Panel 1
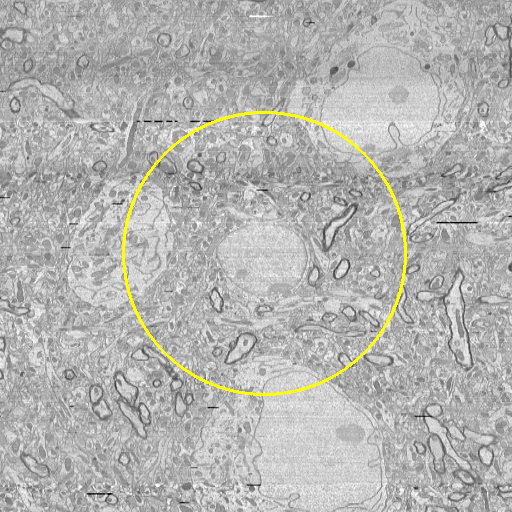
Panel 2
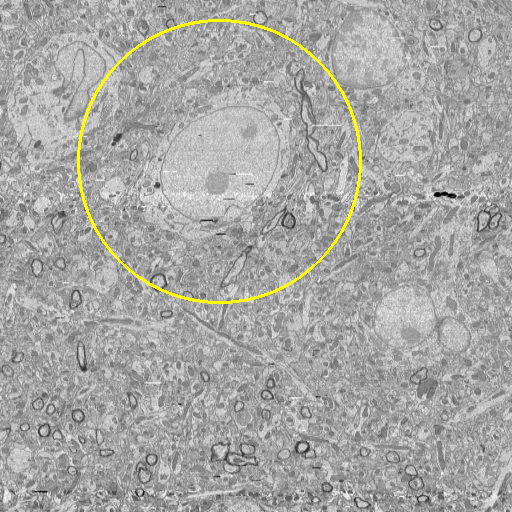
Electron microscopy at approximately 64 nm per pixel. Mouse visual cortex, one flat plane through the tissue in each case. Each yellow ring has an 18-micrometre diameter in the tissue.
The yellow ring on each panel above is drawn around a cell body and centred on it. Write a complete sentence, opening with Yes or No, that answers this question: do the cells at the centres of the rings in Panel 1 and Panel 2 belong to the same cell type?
No, the two cells belong to two cell types.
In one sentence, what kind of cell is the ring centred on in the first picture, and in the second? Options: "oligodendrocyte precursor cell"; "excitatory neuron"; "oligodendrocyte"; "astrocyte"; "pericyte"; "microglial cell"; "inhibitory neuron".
The cell at the centre of the second ring is an excitatory neuron; the first ring's cell is an astrocyte.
